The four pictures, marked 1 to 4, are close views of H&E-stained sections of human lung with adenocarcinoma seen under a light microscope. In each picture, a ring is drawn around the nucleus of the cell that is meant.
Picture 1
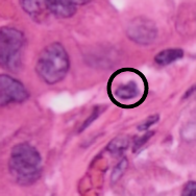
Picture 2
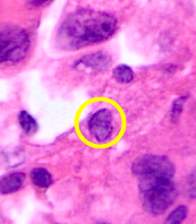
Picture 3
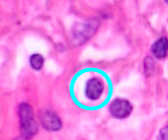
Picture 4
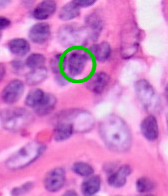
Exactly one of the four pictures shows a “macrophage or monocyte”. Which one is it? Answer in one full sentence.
Picture 2 shows the “macrophage or monocyte”.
